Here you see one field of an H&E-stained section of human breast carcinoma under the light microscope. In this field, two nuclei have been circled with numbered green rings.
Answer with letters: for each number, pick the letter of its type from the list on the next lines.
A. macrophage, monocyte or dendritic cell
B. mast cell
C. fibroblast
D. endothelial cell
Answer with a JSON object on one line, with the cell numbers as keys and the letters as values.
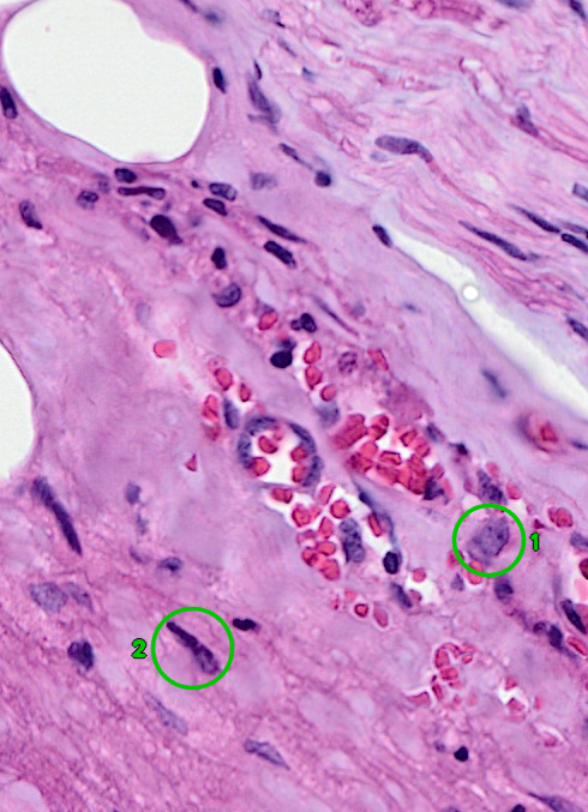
{"1": "D", "2": "C"}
